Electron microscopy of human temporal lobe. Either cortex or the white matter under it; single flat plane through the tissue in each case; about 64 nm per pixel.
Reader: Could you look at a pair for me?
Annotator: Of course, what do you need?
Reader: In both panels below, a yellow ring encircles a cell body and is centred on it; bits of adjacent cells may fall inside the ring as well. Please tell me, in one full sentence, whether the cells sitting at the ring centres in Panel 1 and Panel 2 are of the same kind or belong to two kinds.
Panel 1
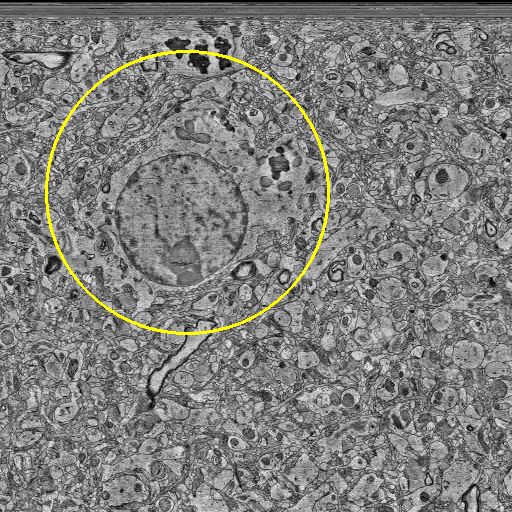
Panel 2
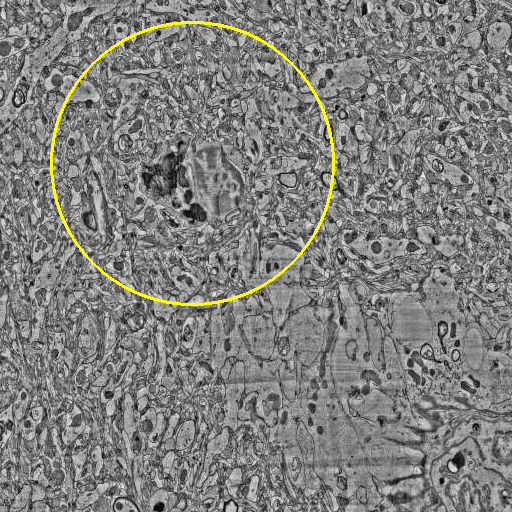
The cell at the ring's centre in Panel 1 and the one in Panel 2 belong to two kinds.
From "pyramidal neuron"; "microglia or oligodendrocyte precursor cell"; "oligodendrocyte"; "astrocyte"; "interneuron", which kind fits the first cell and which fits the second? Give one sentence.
The cell marked in the first picture is an astrocyte, and the one marked in the second is an oligodendrocyte.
